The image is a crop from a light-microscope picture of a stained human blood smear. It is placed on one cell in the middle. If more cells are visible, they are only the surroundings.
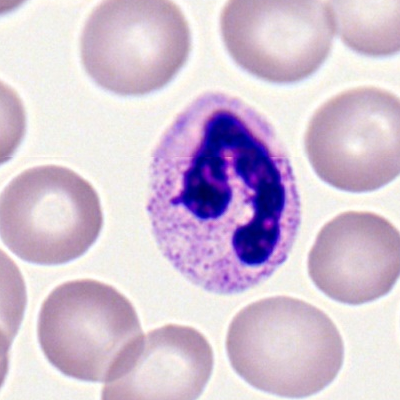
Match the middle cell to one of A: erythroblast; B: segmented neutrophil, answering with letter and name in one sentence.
The one cell at the centre is a segmented neutrophil, as correctly stated in option B.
